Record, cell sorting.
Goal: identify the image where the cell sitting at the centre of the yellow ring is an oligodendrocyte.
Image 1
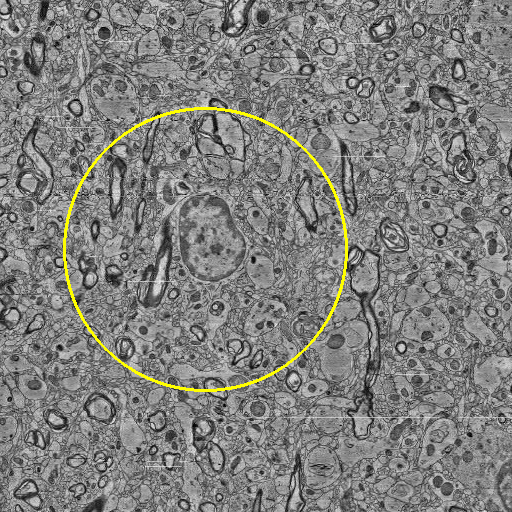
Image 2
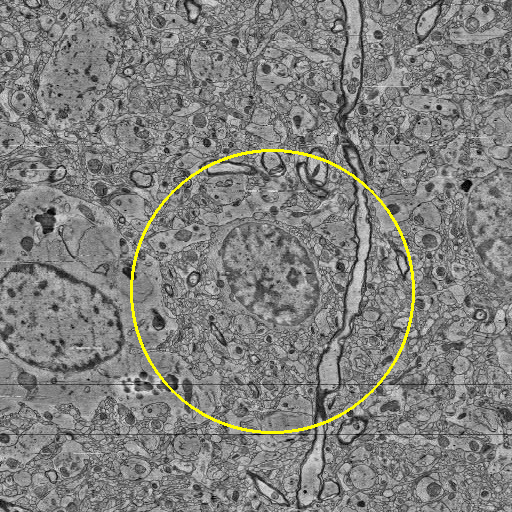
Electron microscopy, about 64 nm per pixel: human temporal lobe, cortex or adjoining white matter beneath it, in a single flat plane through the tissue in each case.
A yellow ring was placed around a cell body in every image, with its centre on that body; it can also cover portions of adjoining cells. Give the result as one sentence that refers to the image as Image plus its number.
Image 2 shows the requested cell sitting right at the centre of its ring.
